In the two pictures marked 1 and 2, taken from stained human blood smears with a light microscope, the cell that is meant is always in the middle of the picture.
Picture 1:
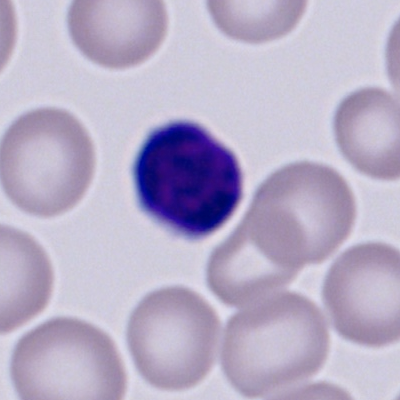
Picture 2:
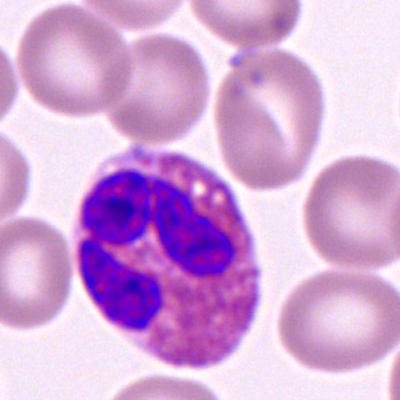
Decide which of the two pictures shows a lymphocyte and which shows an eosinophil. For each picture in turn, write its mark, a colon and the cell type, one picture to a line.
1: lymphocyte
2: eosinophil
